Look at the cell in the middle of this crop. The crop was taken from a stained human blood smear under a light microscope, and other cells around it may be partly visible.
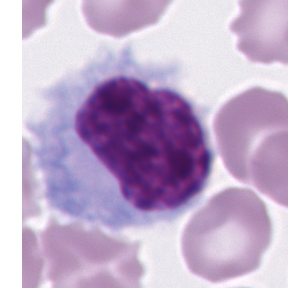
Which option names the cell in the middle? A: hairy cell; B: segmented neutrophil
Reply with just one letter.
A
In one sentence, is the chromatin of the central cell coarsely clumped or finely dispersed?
Its chromatin is clumped in a coarse pattern.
